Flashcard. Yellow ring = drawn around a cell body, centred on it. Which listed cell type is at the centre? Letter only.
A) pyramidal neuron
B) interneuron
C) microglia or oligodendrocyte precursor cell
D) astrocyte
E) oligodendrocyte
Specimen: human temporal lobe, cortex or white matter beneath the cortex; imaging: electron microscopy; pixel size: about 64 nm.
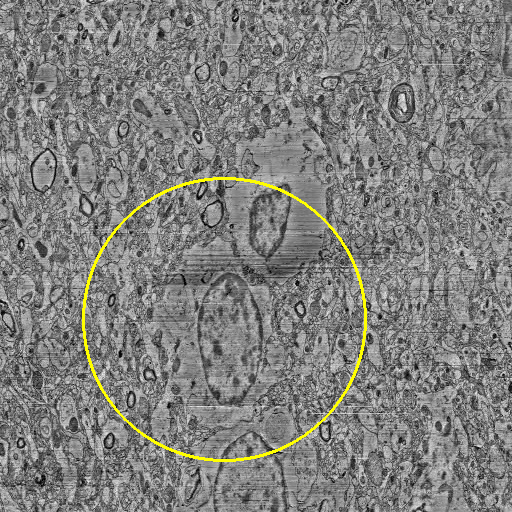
D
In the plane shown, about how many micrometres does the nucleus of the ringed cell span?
Approximately 8 micrometres long and 4 micrometres wide, so clearly longer than it is wide in this plane.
